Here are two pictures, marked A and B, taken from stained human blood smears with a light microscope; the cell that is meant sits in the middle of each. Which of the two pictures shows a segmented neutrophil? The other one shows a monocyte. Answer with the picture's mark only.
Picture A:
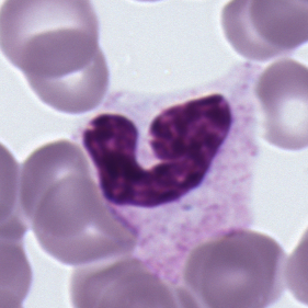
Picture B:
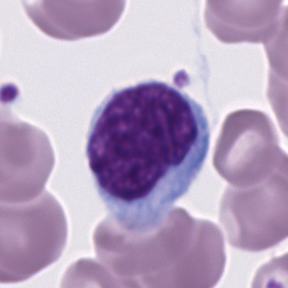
A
